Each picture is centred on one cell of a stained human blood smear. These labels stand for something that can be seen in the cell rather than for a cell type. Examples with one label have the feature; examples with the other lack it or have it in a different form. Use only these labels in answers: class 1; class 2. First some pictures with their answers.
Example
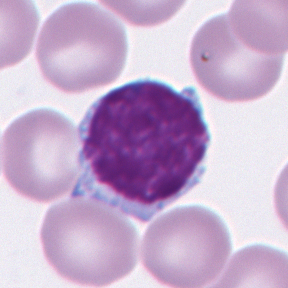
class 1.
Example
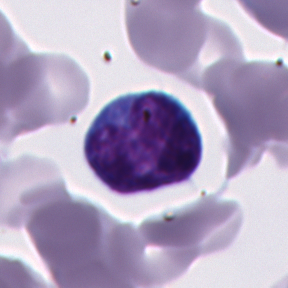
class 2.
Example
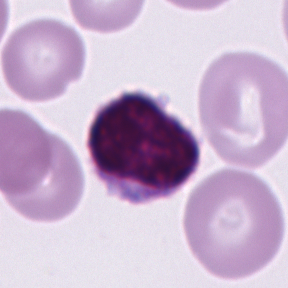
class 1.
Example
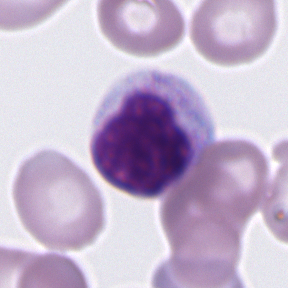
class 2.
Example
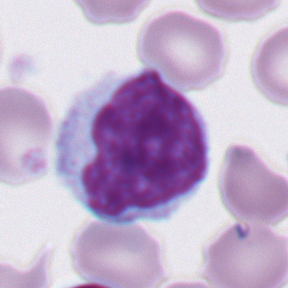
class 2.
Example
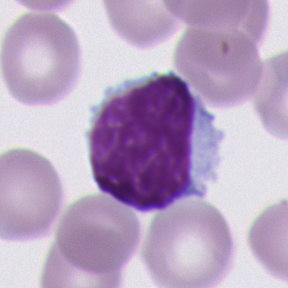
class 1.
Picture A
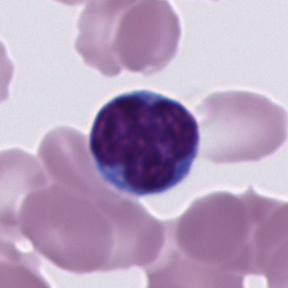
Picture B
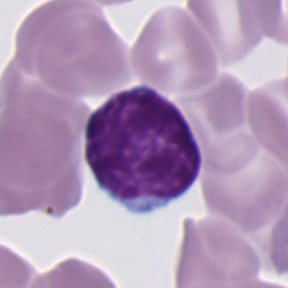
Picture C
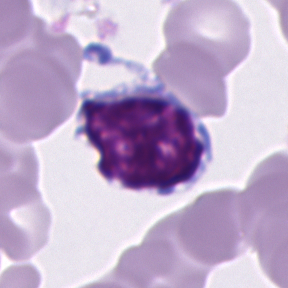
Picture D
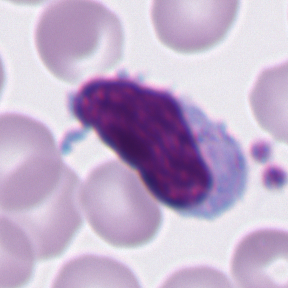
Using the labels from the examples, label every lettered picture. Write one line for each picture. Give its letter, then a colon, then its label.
A: class 2.
B: class 2.
C: class 1.
D: class 1.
